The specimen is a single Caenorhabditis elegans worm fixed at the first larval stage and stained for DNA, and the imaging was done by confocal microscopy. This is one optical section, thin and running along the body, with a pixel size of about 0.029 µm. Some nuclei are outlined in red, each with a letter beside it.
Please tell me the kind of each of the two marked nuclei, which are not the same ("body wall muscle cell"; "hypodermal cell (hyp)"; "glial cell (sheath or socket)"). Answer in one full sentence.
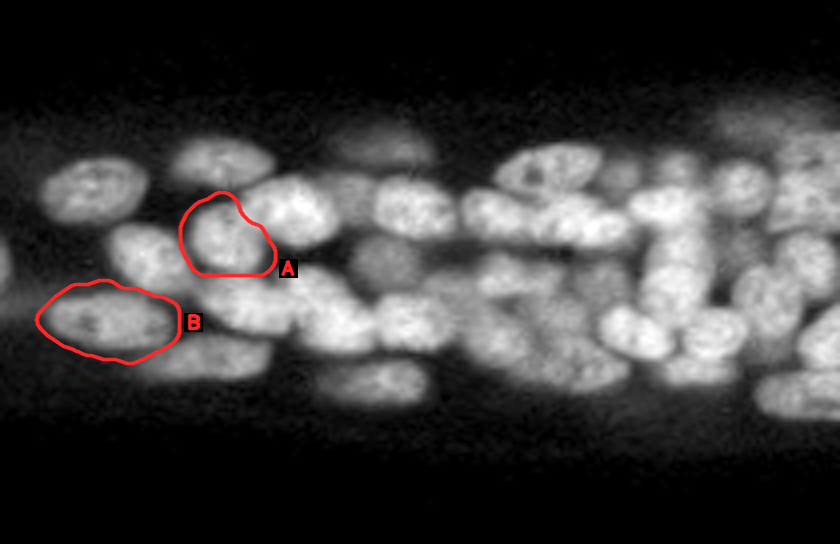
A belongs to a hypodermal cell (hyp) and B to a body wall muscle cell.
